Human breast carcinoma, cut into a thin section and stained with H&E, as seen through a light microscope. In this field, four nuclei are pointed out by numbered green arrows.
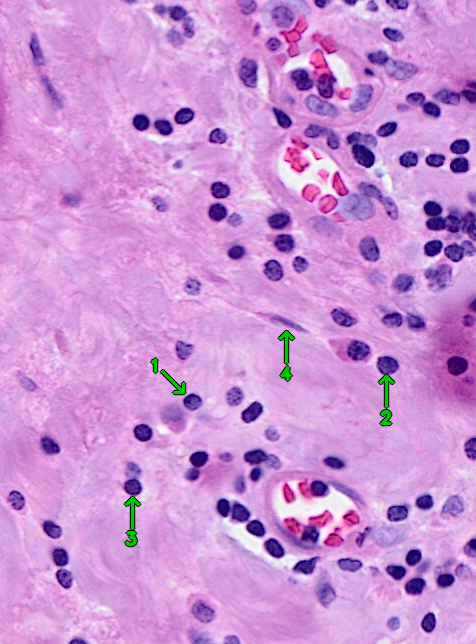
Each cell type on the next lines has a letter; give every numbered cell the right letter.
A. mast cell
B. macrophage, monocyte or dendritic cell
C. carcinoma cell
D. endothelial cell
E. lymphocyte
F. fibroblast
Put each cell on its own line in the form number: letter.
1: E
2: E
3: E
4: F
